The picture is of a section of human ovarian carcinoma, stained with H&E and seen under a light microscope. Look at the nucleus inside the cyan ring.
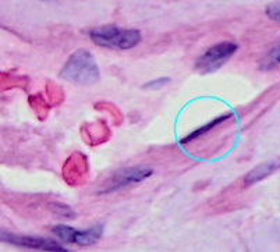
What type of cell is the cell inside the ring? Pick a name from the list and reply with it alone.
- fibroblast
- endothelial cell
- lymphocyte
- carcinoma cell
endothelial cell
